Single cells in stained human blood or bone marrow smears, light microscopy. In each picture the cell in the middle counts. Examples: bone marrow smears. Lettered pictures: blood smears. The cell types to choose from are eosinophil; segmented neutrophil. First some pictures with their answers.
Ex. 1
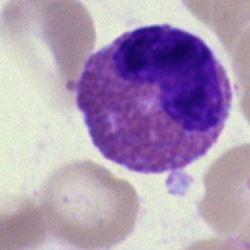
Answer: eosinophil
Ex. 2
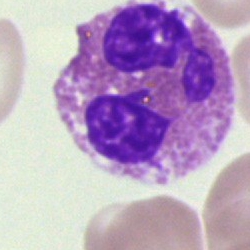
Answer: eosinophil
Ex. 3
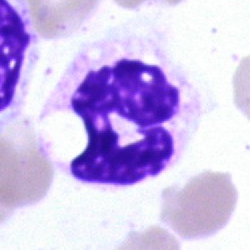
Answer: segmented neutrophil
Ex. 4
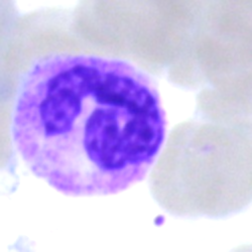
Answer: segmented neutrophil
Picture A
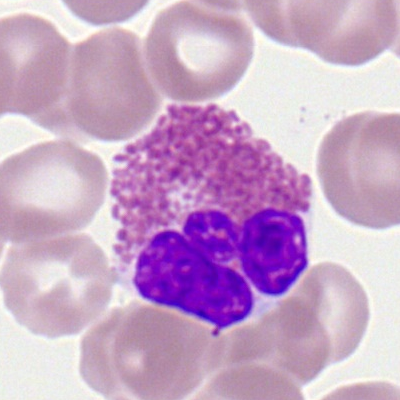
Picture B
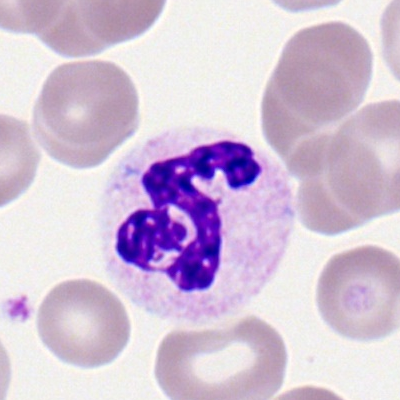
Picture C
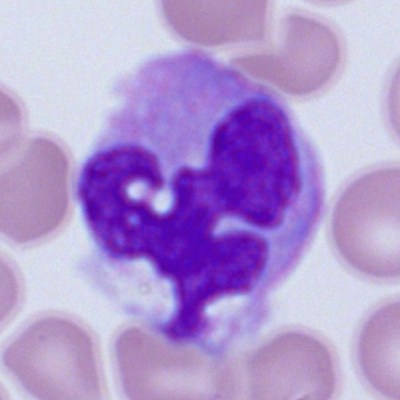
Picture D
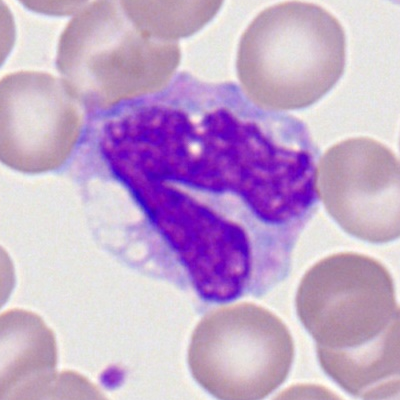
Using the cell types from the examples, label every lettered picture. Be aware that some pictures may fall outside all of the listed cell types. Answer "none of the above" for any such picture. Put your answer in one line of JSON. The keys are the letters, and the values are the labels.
{"A": "eosinophil", "B": "segmented neutrophil", "C": "none of the above", "D": "none of the above"}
